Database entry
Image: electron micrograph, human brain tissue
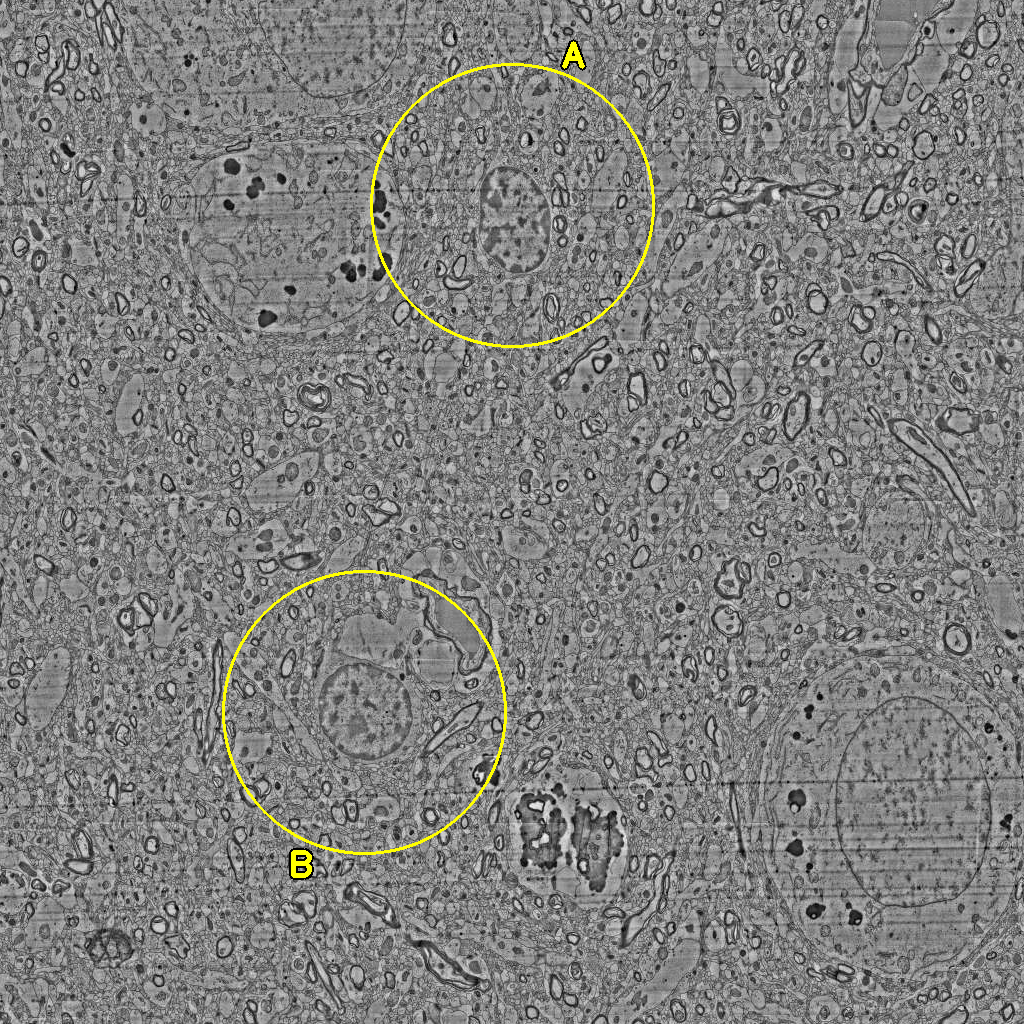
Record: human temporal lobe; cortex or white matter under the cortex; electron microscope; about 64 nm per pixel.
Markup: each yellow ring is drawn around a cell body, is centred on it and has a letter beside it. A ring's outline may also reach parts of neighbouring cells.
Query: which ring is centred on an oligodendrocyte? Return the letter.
B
